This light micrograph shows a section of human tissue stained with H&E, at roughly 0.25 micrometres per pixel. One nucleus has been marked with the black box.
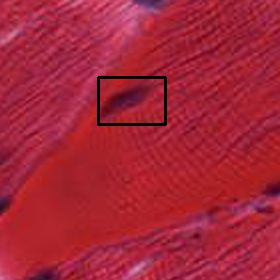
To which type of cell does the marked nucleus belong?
skeletal muscle fibre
